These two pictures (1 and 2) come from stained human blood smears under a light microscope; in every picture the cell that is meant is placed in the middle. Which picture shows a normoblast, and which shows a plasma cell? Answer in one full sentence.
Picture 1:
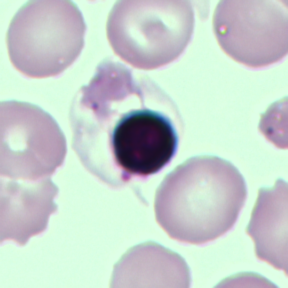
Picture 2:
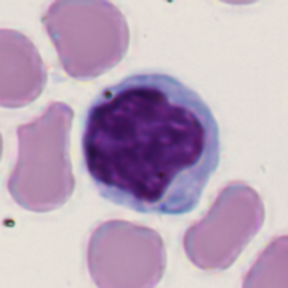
The cell in picture 1 is a normoblast, and the one in picture 2 is a plasma cell.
